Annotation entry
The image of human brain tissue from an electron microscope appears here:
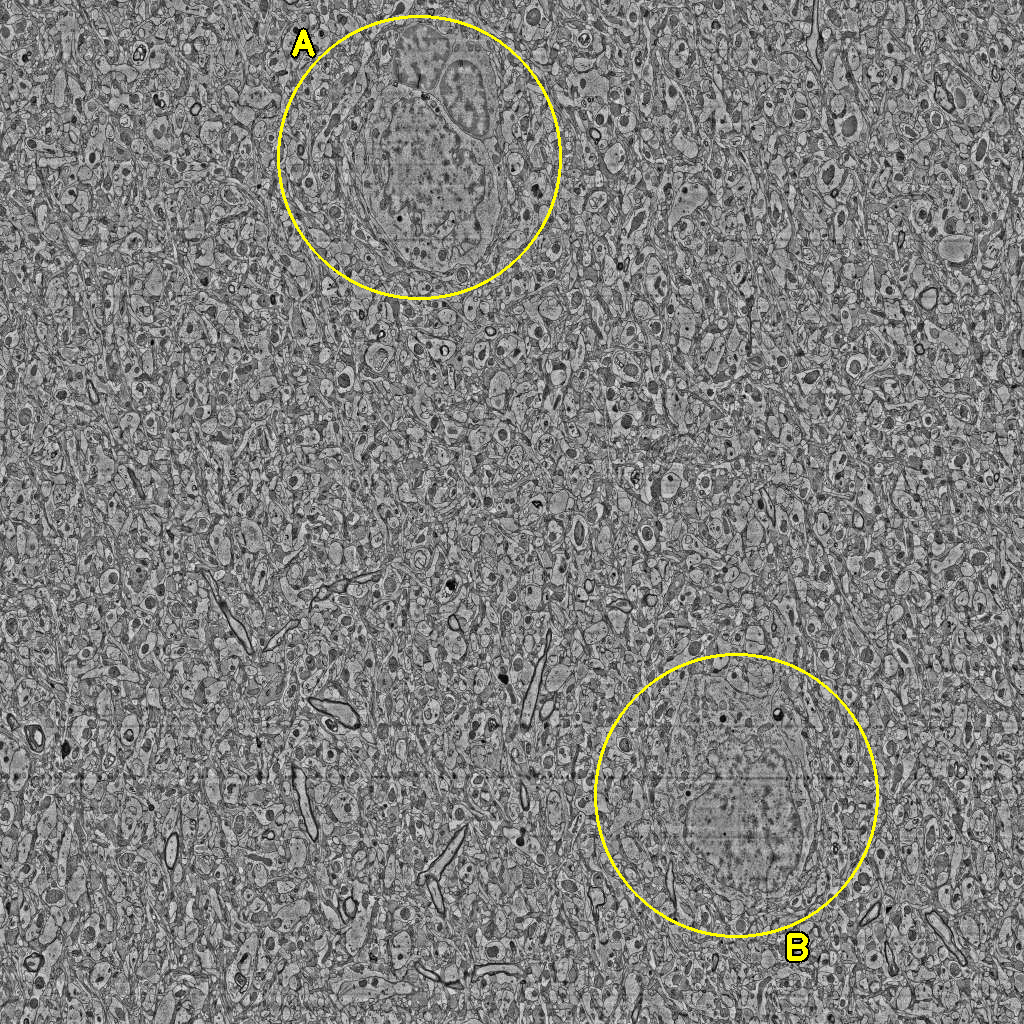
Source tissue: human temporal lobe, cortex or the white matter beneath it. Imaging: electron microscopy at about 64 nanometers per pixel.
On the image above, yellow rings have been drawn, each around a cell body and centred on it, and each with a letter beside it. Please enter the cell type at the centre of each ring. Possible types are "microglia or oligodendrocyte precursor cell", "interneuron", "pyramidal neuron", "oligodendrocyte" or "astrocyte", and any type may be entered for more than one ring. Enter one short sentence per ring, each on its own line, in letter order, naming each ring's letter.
The cell that ring A is centred on is an interneuron.
The cell that ring B is centred on is an interneuron.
